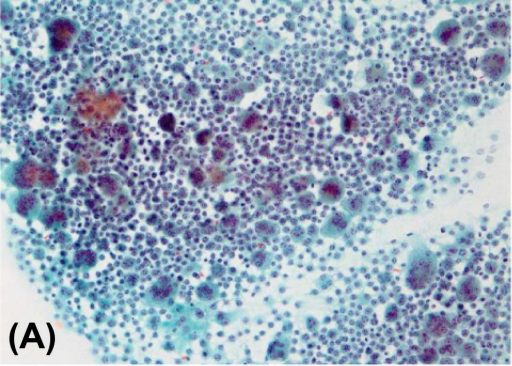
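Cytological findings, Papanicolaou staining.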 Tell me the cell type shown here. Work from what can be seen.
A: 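Multinucleated giant cells. Many small single round cells form a dense smear. Scattered much larger cells with clustered nuclei lie among them.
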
